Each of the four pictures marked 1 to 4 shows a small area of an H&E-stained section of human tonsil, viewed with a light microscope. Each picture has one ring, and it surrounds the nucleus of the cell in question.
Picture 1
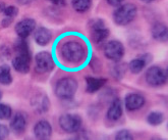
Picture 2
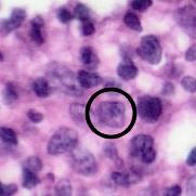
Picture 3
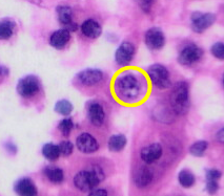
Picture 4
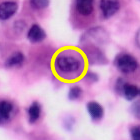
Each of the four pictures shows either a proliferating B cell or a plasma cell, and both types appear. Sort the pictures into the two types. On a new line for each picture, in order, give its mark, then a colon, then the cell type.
1: plasma cell
2: proliferating B cell
3: plasma cell
4: plasma cell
